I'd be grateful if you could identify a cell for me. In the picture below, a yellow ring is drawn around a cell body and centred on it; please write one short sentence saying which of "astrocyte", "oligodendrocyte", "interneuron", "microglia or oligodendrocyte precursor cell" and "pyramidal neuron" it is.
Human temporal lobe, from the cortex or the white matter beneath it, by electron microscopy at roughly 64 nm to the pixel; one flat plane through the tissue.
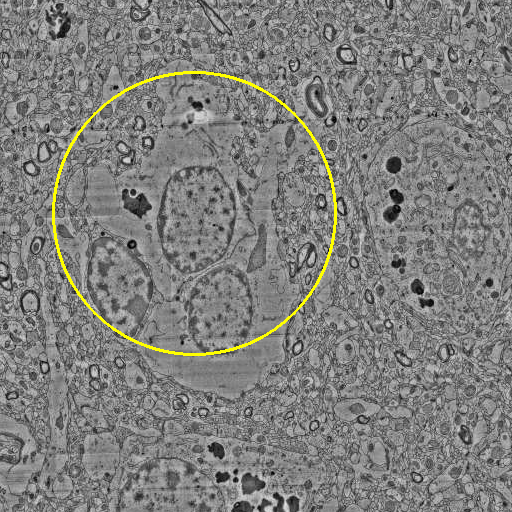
The cell under the ring's centre is an astrocyte.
